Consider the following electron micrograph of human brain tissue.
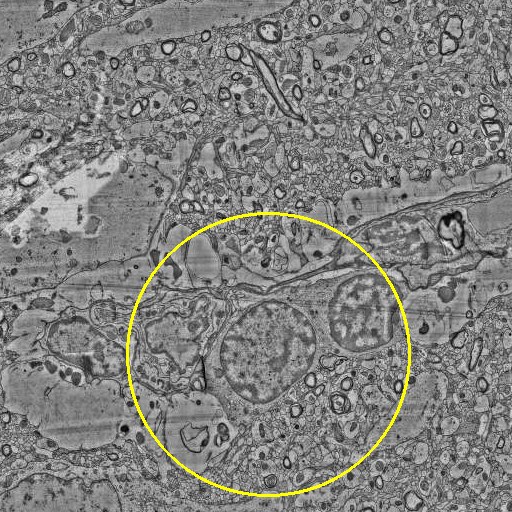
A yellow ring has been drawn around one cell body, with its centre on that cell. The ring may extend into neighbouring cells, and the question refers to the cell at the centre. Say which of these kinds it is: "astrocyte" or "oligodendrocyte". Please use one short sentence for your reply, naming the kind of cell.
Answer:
The centre of the ring falls on an oligodendrocyte.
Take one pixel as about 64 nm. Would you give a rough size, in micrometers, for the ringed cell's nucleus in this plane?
The nucleus is about 6 micrometres across in this plane.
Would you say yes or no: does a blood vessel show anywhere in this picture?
Yes, the picture includes a blood vessel.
